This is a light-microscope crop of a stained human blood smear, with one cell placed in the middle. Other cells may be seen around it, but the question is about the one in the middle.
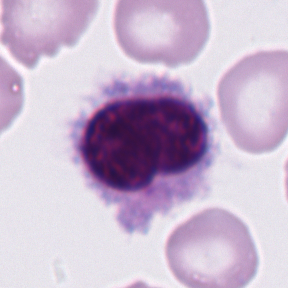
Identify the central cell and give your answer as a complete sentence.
The cell positioned in the middle of the field is a hairy cell.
